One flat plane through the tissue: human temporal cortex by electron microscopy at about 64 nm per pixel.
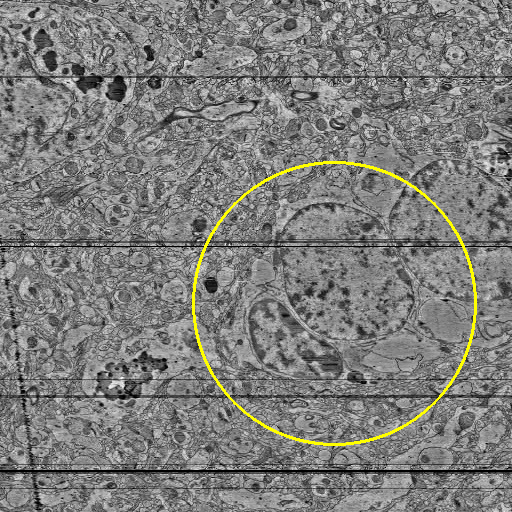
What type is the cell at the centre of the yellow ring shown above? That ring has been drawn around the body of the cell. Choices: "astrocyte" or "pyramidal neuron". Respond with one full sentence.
My answer is that an astrocyte lies at the centre of the yellow ring above.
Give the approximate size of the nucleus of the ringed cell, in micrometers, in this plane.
Roughly 10 by 8 micrometres in this plane, for the nucleus of the ringed cell.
